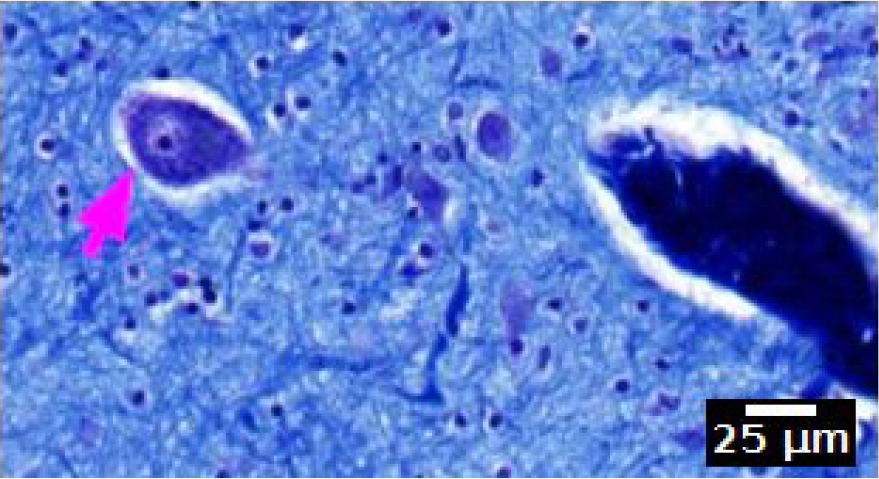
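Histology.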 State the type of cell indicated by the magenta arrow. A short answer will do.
neurons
